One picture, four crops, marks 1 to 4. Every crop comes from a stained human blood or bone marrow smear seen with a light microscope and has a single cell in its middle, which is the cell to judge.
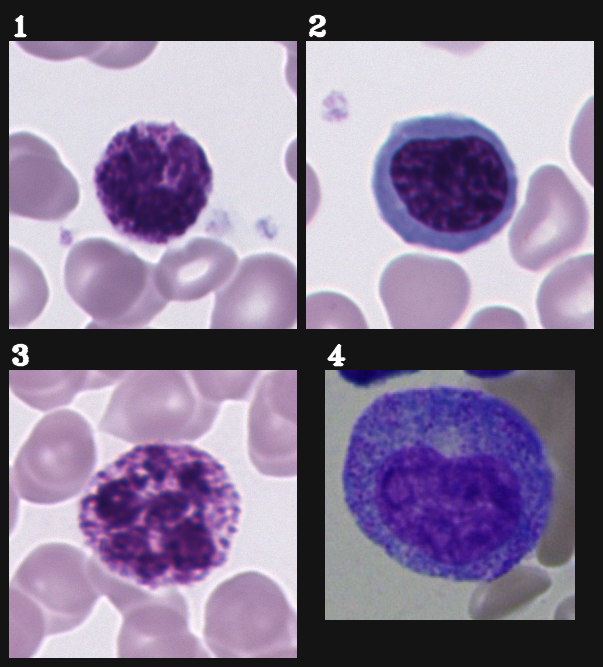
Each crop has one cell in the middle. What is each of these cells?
1: basophil
2: normoblast
3: basophil
4: promyelocyte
